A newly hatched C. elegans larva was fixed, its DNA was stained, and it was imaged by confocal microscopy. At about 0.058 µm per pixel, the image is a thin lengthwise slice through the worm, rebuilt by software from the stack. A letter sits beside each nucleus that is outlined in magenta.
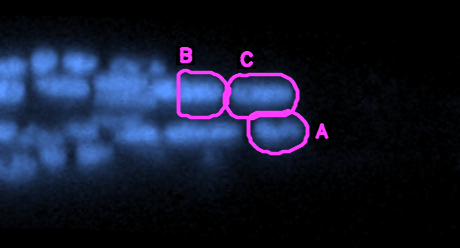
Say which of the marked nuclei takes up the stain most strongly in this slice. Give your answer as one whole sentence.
B is stained most strongly in this section.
